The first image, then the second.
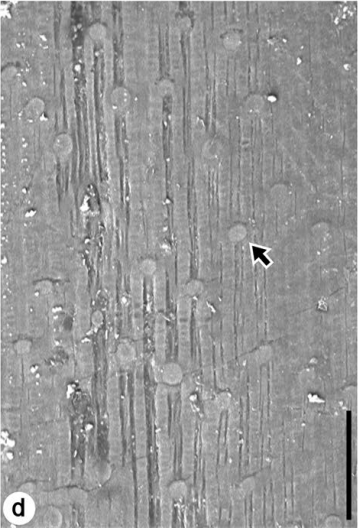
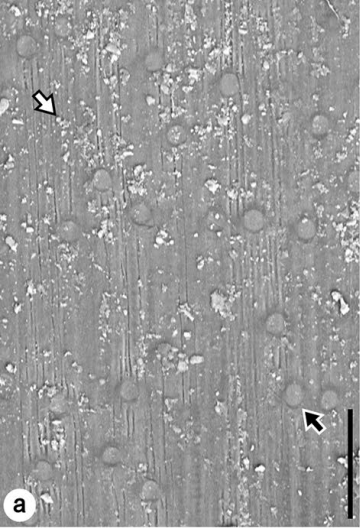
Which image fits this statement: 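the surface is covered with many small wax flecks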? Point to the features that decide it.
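The second image. Second image: many small bright irregular flecks are spread over the surface.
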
